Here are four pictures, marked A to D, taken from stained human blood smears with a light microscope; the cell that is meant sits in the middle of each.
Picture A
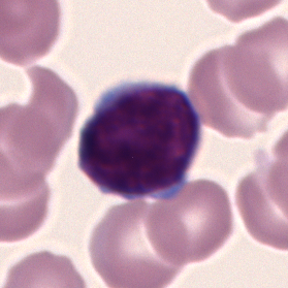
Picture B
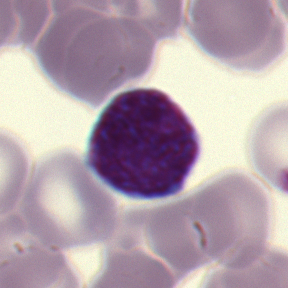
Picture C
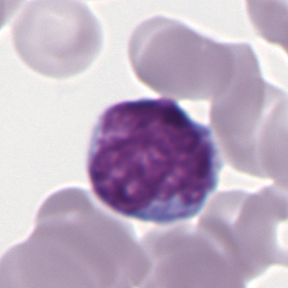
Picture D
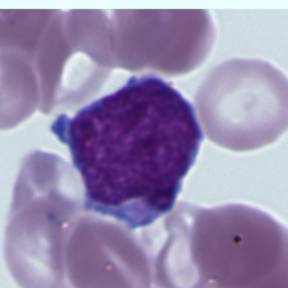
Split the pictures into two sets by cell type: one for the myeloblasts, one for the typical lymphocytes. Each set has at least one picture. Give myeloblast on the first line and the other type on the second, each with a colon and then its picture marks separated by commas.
myeloblast: D
typical lymphocyte: A, B, C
